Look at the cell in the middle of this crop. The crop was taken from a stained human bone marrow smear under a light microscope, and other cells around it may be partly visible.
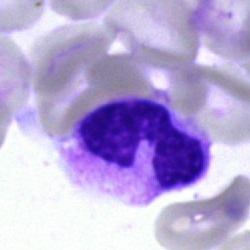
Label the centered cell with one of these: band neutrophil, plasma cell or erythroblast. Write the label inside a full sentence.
The cell in the middle of the field of view is a band neutrophil.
